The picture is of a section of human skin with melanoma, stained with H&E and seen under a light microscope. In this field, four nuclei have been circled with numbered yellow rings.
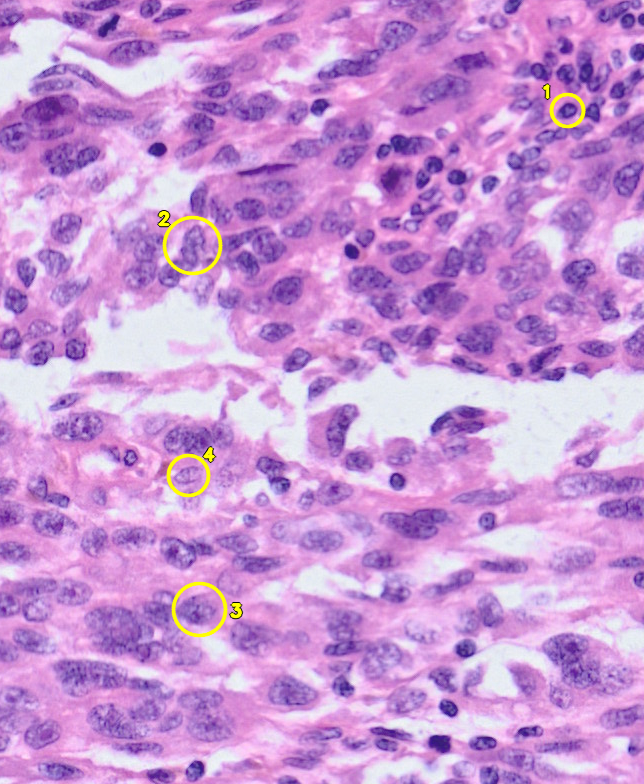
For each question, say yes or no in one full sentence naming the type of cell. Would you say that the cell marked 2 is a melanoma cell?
Yes, the cell with the number 2 is a melanoma cell.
